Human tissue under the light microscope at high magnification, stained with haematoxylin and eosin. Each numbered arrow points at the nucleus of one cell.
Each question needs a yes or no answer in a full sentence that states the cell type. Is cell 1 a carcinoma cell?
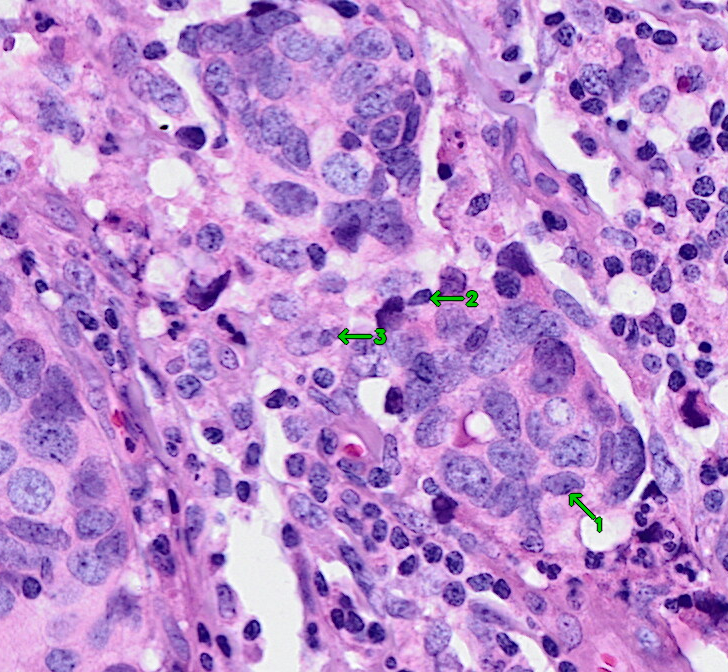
Yes, the marked cell number 1 is a carcinoma cell.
